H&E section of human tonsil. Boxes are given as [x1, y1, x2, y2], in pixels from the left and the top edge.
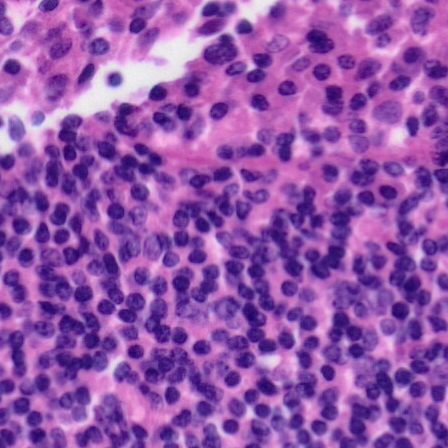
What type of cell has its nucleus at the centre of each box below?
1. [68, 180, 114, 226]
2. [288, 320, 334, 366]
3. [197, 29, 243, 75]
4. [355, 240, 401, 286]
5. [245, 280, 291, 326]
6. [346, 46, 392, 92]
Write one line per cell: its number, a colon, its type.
1: small lymphocyte
2: small lymphocyte
3: squamous epithelial cell
4: small lymphocyte
5: small lymphocyte
6: squamous epithelial cell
